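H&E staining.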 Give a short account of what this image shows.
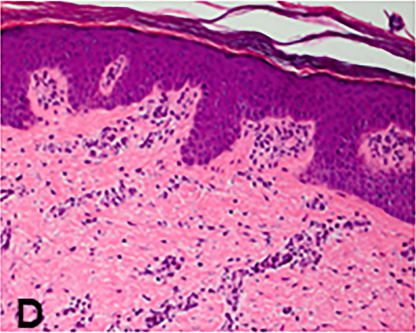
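This is skin, with a thick purple epidermis on top and pink dermis below. The epidermis sends rete ridges down into the dermis, with dermal papillae rising between them, and there is a thin layer of flaky keratin on the surface. Small clusters of dark, round nuclei sit around vessels in the superficial dermis, and the deeper dermis is made of pale pink collagen. The epidermis is intact, and no vessels plugged with red material are visible.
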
